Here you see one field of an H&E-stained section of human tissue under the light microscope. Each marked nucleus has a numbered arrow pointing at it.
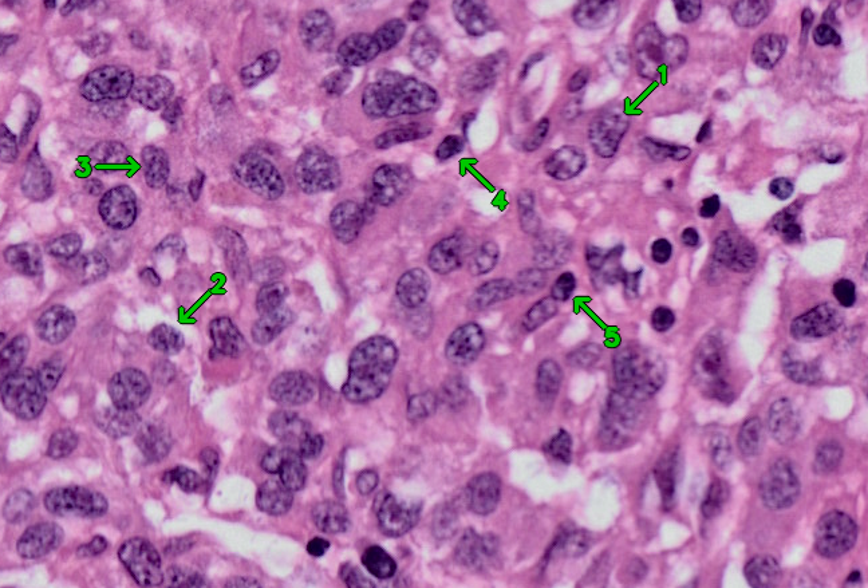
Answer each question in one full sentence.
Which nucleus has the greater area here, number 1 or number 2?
It is nucleus 1, which covers about 1.5 times the area of nucleus 2.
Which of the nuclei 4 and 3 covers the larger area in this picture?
Nucleus 3 covers more area, about 1.5 times as much as nucleus 4.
